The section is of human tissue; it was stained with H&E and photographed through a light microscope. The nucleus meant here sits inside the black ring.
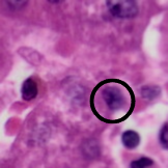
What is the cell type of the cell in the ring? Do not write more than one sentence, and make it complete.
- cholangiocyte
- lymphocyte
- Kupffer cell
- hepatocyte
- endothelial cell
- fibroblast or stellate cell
In the context of this tissue, the cell in the ring is a fibroblast or stellate cell.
